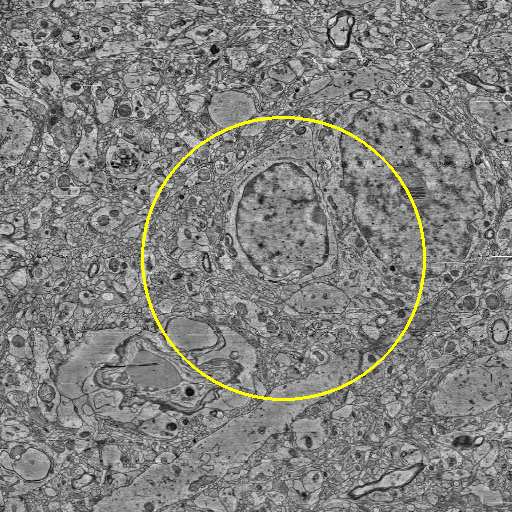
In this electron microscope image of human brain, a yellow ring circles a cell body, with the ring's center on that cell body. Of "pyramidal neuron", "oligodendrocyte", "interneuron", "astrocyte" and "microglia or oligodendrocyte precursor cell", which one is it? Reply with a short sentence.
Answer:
It is a microglial cell or oligodendrocyte precursor cell at the center of the ring.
